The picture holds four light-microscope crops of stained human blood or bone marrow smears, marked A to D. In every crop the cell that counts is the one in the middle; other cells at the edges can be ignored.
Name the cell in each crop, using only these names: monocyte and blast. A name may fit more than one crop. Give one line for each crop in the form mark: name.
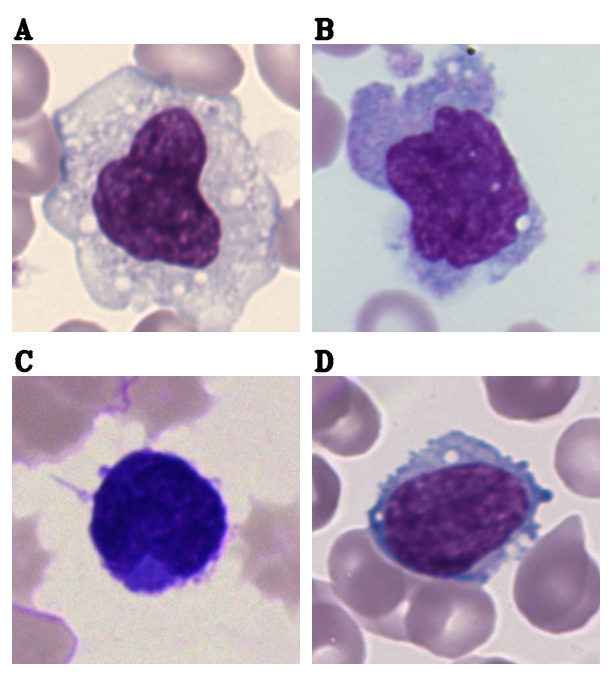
A: monocyte
B: monocyte
C: blast
D: blast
